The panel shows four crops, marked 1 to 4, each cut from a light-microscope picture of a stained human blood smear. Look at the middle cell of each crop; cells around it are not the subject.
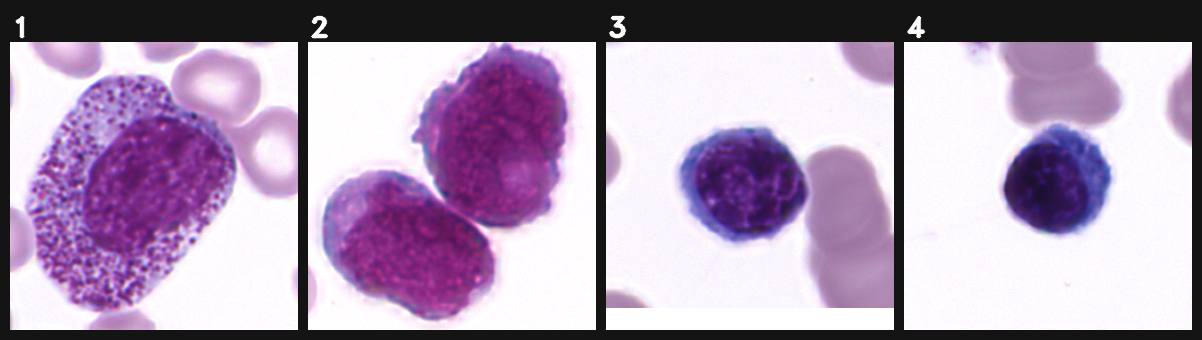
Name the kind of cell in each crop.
1: promyelocyte
2: atypical promyelocyte
3: plasma cell
4: plasma cell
